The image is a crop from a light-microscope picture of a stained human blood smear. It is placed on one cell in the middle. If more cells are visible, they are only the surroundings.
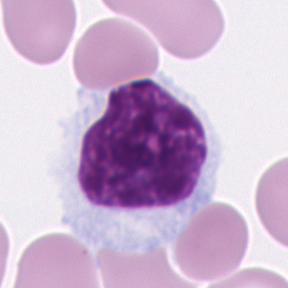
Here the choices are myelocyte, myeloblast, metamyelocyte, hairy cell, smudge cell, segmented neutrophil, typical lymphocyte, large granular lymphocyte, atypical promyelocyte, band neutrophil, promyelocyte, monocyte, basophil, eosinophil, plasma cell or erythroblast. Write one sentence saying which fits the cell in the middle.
To answer, the cell in the center of the crop is a hairy cell.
